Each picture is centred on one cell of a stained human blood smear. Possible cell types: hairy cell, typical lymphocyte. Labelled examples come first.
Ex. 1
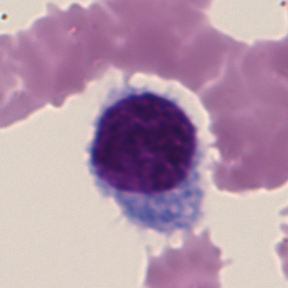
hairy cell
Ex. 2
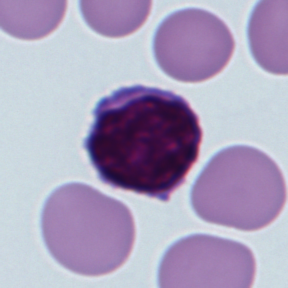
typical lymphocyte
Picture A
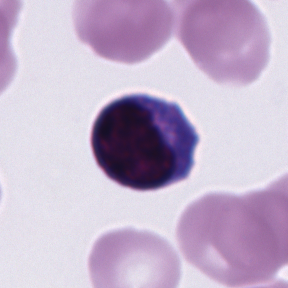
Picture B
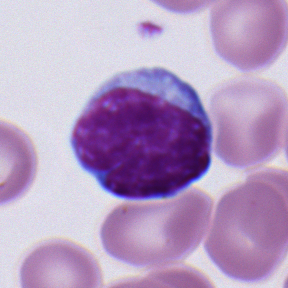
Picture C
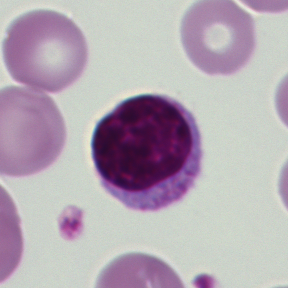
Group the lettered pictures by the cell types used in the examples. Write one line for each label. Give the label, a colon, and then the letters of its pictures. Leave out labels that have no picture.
typical lymphocyte: A, B, C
